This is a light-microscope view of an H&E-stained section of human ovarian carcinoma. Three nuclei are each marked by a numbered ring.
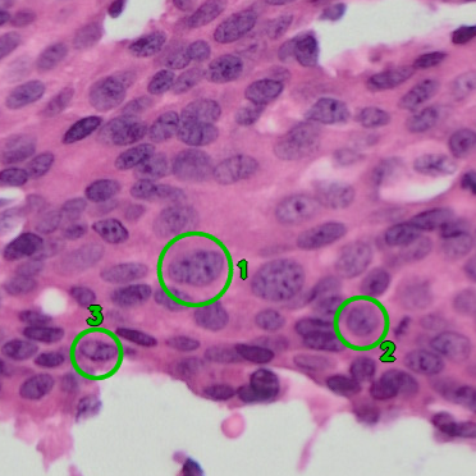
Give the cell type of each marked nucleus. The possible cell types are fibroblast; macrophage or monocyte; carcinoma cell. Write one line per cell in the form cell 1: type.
cell 1: carcinoma cell
cell 2: carcinoma cell
cell 3: macrophage or monocyte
